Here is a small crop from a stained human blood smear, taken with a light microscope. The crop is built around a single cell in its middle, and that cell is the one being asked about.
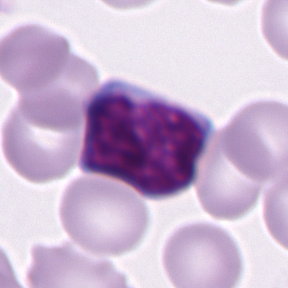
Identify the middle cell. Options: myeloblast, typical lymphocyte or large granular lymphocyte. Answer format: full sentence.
As for the cell in the middle, it is a typical lymphocyte.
